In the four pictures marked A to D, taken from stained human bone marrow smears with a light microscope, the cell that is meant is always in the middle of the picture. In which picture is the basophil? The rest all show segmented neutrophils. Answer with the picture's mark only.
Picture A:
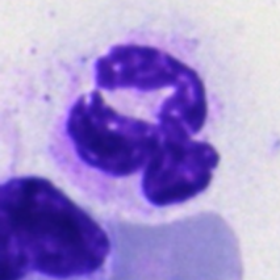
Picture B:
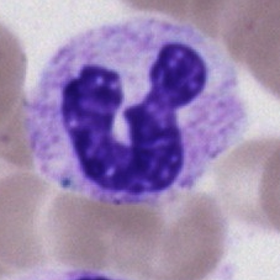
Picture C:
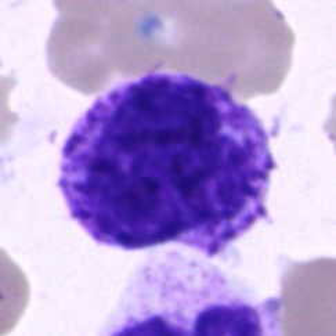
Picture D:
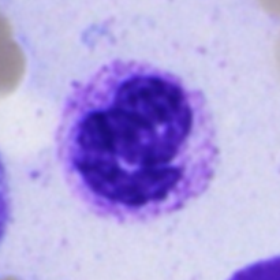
C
